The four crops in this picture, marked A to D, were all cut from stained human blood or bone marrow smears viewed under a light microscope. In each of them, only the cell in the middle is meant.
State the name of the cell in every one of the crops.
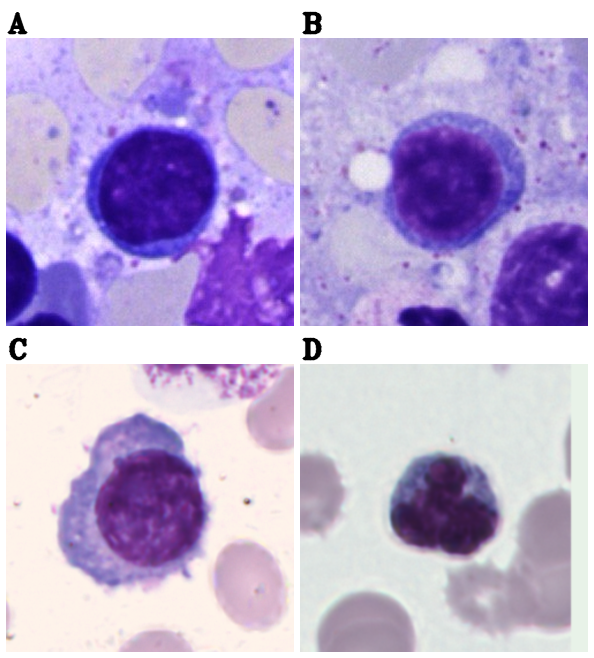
A: lymphocyte
B: lymphocyte
C: plasma cell
D: plasma cell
